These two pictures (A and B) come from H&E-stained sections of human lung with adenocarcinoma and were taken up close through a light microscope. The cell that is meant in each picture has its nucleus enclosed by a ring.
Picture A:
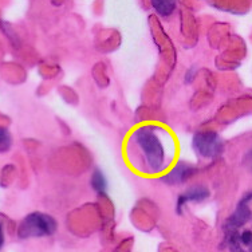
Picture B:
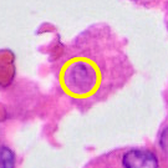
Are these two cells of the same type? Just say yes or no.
no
